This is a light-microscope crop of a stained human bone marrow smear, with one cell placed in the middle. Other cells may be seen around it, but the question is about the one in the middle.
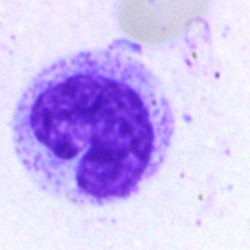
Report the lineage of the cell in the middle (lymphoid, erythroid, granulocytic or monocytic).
granulocytic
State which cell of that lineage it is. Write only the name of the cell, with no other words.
band neutrophil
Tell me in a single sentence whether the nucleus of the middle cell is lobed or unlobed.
One compact mass makes up the whole nucleus, round, oval or kidney-shaped.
